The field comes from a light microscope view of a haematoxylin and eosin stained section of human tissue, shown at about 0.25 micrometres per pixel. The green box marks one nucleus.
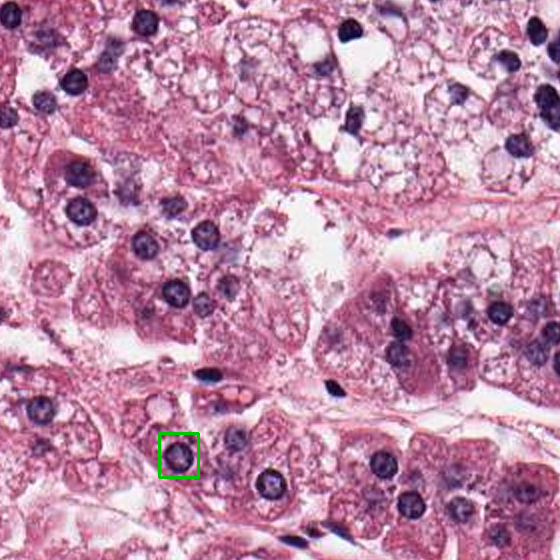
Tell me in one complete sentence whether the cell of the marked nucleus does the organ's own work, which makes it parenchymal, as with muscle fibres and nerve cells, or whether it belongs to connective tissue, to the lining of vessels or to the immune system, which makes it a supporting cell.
What the marked nucleus belongs to is a parenchymal cell, namely an adrenal cortical cell.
